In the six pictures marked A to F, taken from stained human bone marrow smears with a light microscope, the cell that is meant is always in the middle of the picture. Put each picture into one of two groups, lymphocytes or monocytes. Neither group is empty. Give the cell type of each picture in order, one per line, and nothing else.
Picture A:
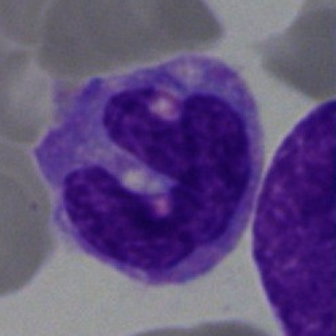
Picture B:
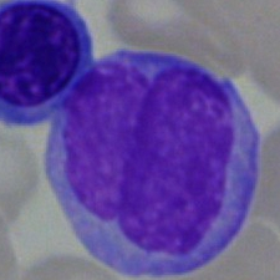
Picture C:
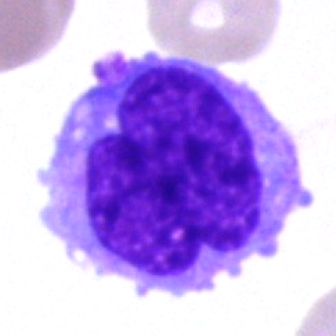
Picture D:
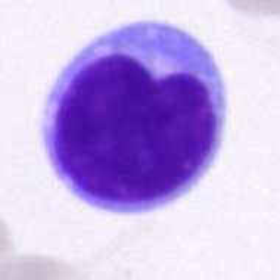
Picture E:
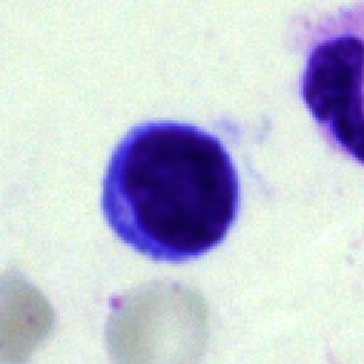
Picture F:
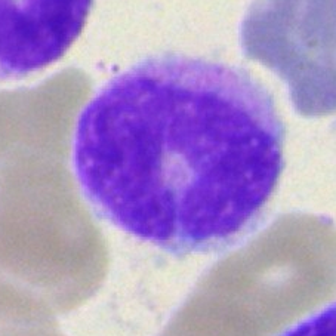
monocyte
monocyte
monocyte
lymphocyte
lymphocyte
monocyte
